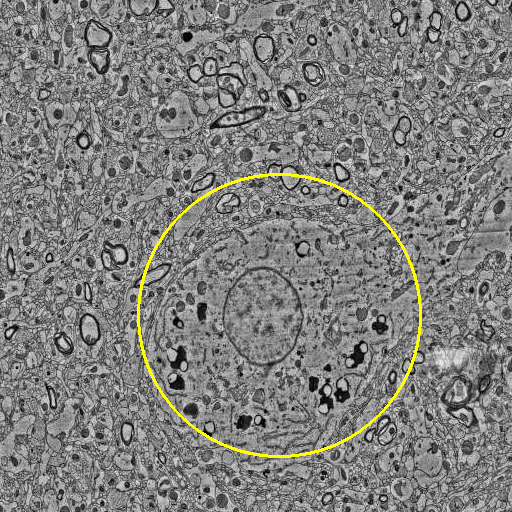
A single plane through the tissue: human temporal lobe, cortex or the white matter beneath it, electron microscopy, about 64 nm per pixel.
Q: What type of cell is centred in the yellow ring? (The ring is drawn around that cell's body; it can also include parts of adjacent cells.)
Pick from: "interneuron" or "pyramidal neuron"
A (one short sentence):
The yellow ring is centred on a pyramidal neuron.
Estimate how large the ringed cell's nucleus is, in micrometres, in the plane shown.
In this plane, roughly 6 by 5 micrometres.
